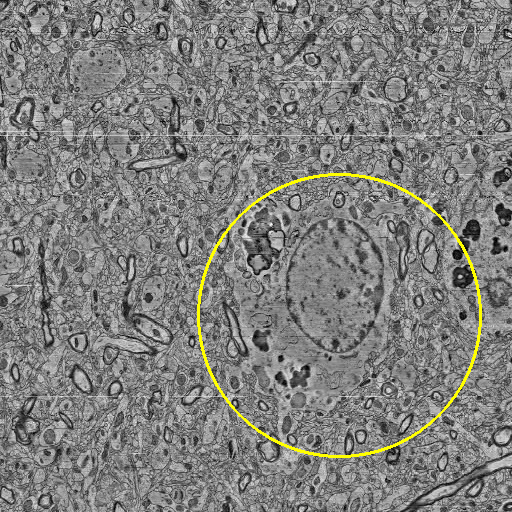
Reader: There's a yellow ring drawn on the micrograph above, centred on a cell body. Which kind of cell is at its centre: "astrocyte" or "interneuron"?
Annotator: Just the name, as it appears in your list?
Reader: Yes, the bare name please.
astrocyte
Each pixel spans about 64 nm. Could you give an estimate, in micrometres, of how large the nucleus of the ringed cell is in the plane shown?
In this plane, the nucleus is roughly 9 by 6 micrometres.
